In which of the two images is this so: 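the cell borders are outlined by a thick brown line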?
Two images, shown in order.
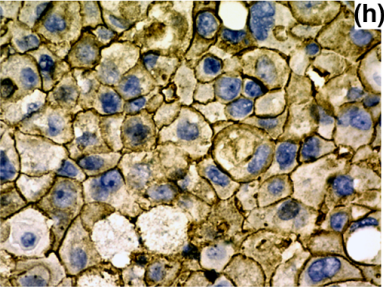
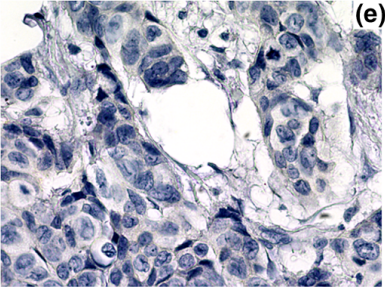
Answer: the first image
